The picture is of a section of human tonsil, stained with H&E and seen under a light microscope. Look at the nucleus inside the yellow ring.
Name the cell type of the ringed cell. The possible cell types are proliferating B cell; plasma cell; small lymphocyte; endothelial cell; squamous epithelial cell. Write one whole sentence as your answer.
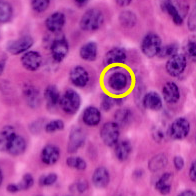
As classified here, the ringed cell is a plasma cell.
